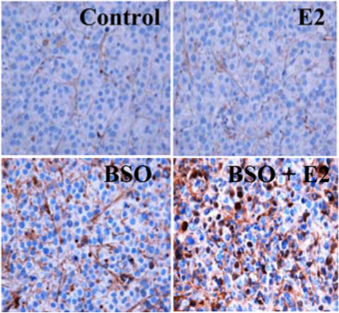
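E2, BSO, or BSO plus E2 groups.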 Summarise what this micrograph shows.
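Four fields of tumor tissue show sheets of tightly packed tumor cells with round blue counterstained nuclei. In the two upper fields brown staining is sparse, lying mostly in thin strands between the cells. The lower right field has the densest brown staining, with many darkly stained, rounded cells scattered among the blue nuclei.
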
